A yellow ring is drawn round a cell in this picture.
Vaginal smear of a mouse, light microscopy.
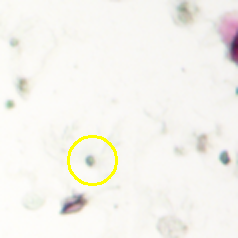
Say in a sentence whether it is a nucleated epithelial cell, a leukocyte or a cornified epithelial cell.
The cell in the ring is a leukocyte.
